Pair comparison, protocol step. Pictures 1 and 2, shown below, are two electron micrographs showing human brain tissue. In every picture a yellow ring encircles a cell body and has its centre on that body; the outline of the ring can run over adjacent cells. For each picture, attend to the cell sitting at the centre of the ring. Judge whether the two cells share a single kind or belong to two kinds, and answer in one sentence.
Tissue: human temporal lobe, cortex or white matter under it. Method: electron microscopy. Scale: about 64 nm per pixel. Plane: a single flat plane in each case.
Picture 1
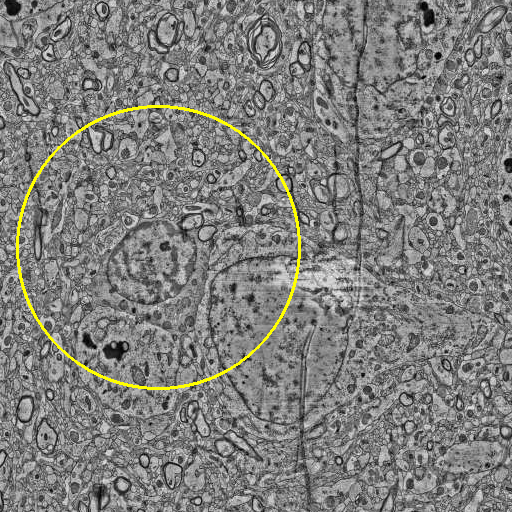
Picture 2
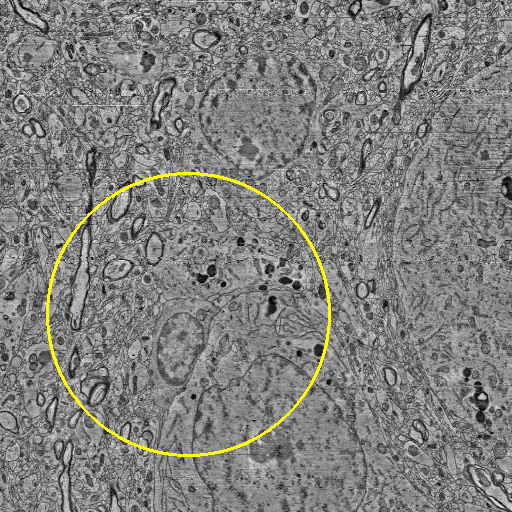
The two cells at the ring centres in Picture 1 and Picture 2 share a single kind.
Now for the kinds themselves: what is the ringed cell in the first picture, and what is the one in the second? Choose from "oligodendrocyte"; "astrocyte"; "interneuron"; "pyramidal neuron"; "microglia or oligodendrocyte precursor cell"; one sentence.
Each one of the two ringed cells is an oligodendrocyte.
